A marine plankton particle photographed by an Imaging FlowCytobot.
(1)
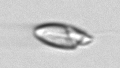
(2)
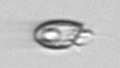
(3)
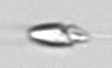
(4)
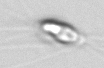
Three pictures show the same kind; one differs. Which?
Picture 4: Chrysochromulina parkeae, while the others are Kapelodinium.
